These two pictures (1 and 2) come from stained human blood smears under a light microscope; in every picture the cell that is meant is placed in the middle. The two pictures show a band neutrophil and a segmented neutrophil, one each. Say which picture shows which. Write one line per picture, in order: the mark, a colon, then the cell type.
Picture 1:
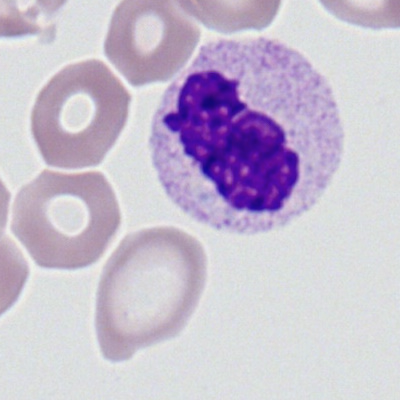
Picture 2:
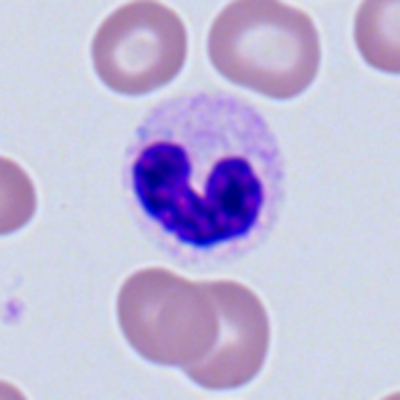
1: segmented neutrophil
2: band neutrophil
